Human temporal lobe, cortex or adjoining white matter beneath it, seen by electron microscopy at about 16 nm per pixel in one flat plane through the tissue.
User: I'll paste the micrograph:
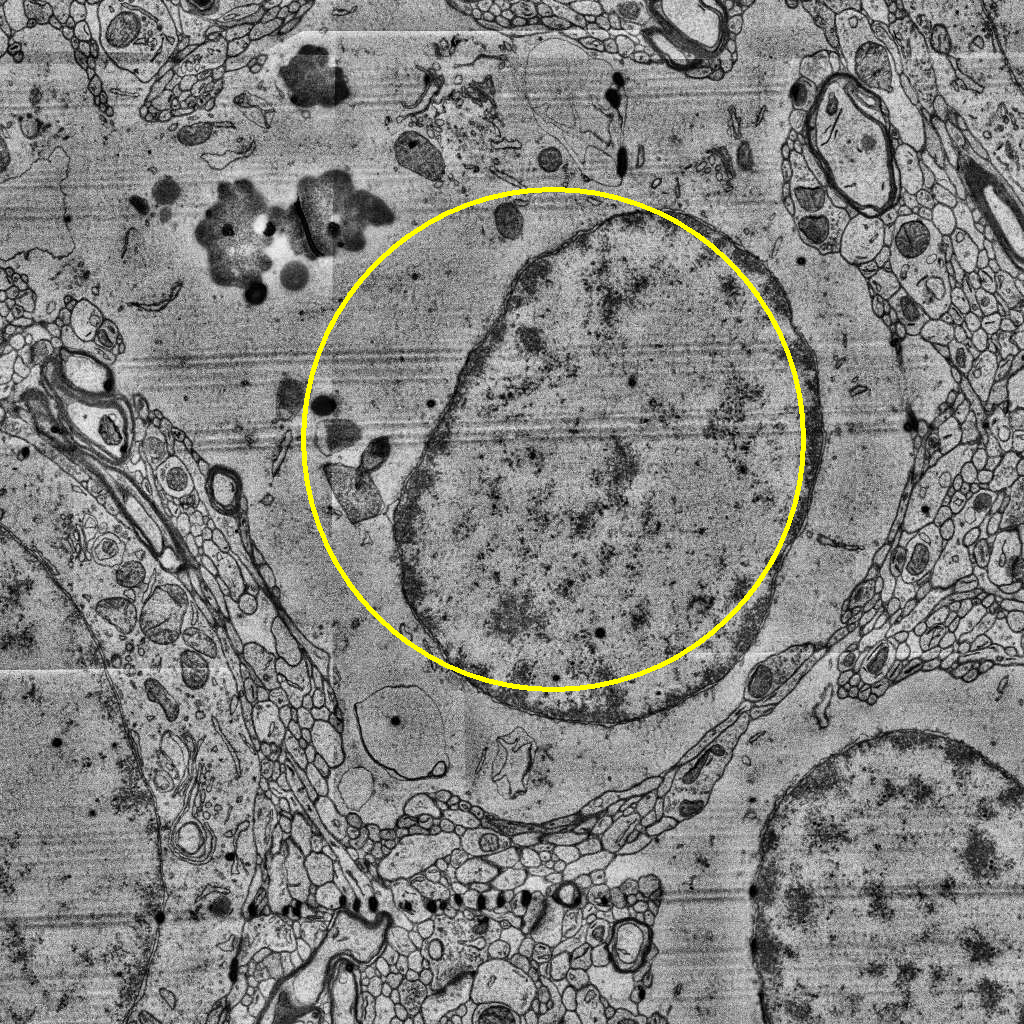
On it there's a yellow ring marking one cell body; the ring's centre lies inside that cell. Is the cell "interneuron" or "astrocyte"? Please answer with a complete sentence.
The cell at the centre of the yellow ring is an astrocyte.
